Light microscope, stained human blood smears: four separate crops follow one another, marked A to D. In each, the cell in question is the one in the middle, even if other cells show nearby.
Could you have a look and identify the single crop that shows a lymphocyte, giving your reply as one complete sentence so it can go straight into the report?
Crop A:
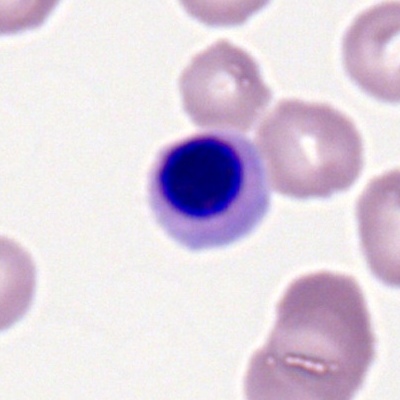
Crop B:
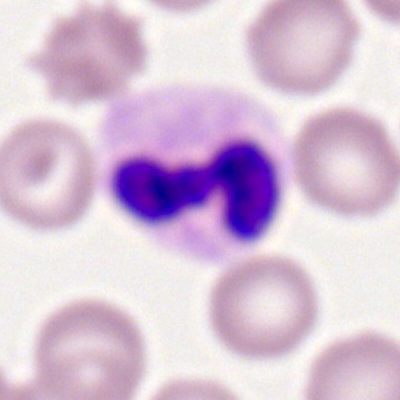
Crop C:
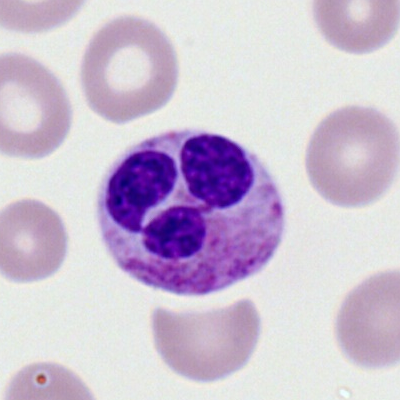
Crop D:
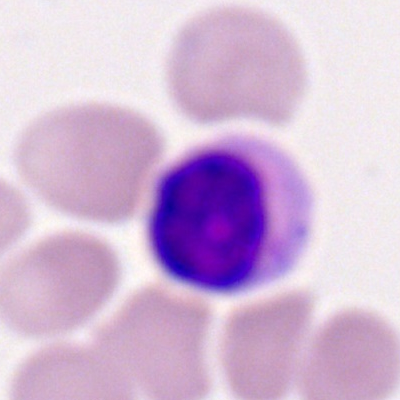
In this series, a lymphocyte is shown by crop D.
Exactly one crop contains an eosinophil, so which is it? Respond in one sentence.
Crop C is the crop featuring an eosinophil at its center.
